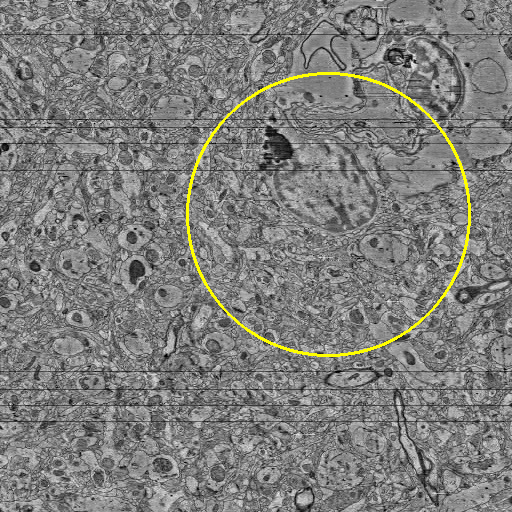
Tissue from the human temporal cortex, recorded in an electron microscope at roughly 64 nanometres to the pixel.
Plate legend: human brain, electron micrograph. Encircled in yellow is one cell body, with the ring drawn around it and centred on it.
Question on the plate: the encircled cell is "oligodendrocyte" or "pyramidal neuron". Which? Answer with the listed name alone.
oligodendrocyte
